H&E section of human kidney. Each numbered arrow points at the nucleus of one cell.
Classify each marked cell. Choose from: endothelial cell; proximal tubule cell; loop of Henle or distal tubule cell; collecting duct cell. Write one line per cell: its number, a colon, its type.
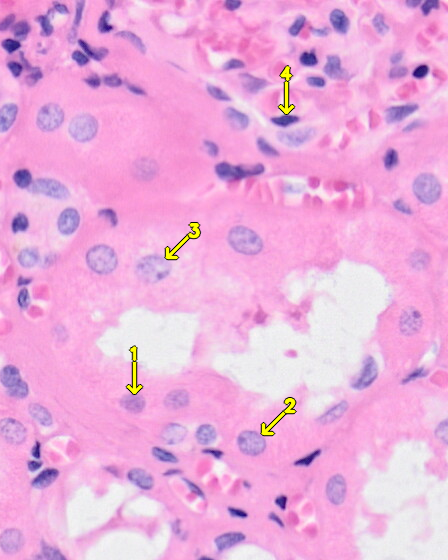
1: proximal tubule cell
2: proximal tubule cell
3: proximal tubule cell
4: endothelial cell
